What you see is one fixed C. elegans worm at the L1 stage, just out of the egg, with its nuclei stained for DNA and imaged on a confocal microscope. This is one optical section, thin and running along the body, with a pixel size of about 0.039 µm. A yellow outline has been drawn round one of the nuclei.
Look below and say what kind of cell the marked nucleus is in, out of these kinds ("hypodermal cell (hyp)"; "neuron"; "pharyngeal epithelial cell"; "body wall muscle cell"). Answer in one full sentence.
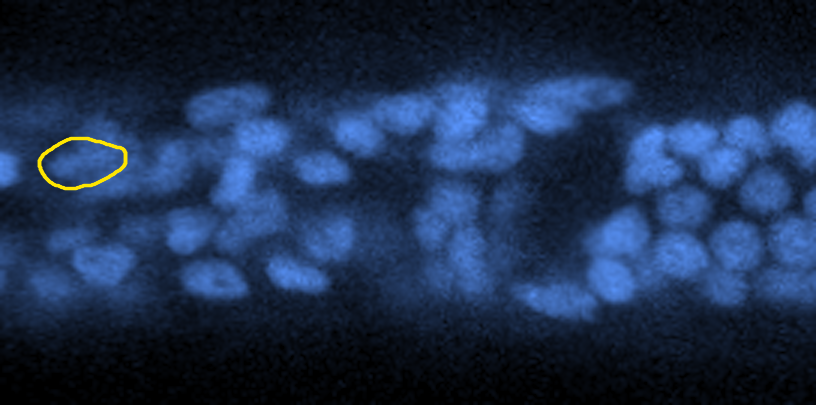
What is marked is the nucleus of a pharyngeal epithelial cell.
